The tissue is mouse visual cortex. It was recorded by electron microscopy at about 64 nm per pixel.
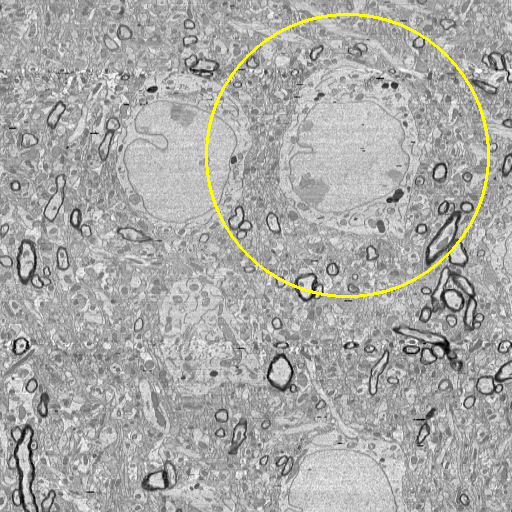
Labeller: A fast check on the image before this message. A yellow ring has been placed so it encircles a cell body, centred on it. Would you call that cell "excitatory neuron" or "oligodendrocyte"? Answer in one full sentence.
In this image, an excitatory neuron is the cell on which the yellow ring is centred.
